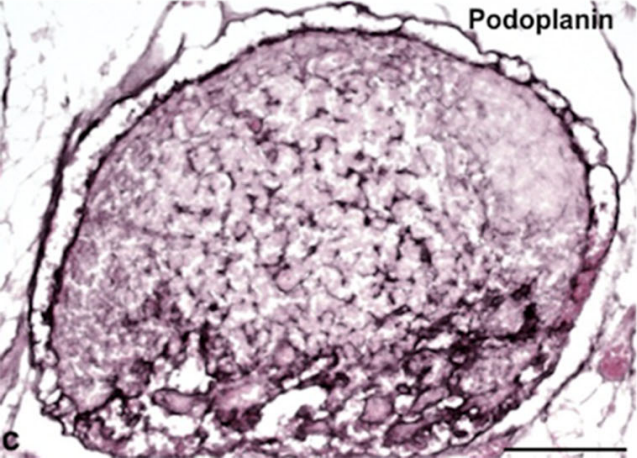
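This is a whole oval lymph node in section, surrounded by a thin capsule and a clear space beneath it, with adipose tissue outside. Throughout the node a fine dark purple meshwork of reticular cells forms a network between paler lymphoid areas. Toward the lower margin the dark staining outlines larger, irregular open spaces, the sinuses, which are more numerous there than in the upper part of the node. The upper right region appears paler and more uniformly packed.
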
